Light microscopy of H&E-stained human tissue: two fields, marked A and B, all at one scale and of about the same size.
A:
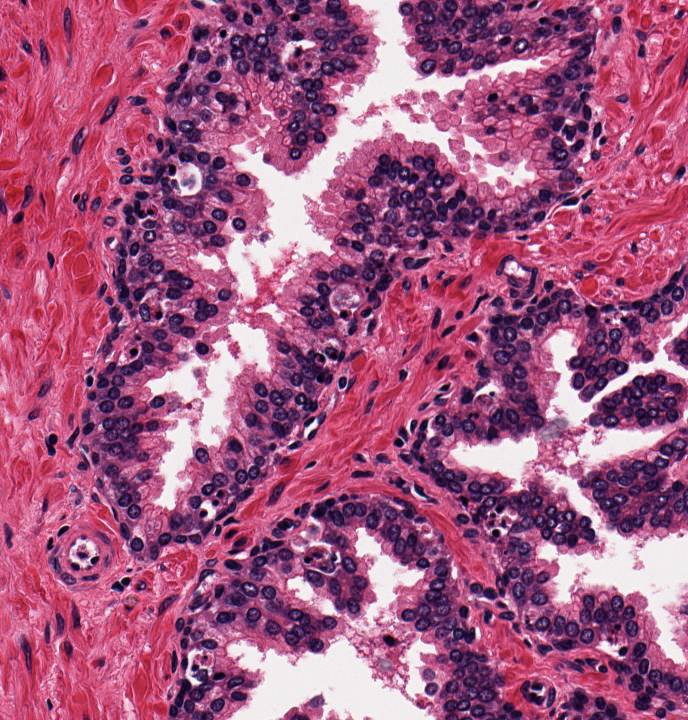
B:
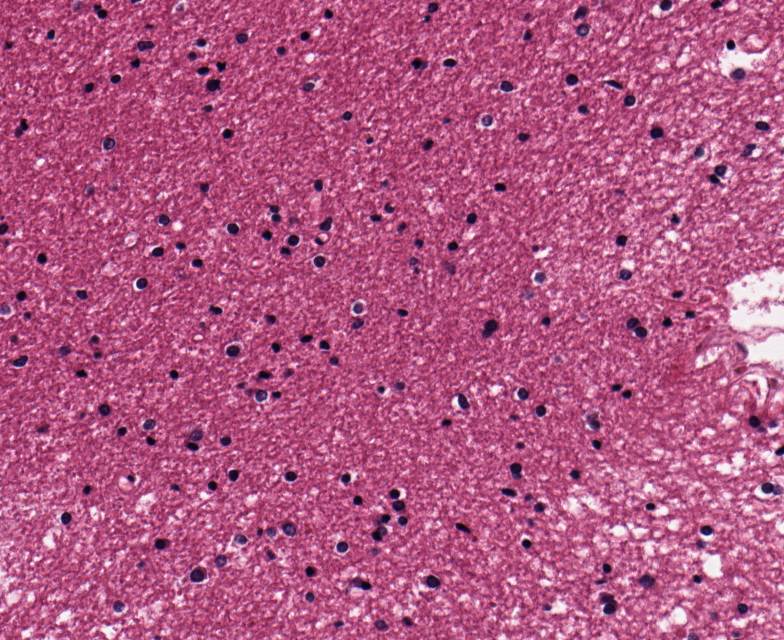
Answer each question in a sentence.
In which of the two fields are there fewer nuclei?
It is picture B that has fewer nuclei in it.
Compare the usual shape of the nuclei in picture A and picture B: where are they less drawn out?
On the whole the nuclei of picture B are rounder than those of picture A.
